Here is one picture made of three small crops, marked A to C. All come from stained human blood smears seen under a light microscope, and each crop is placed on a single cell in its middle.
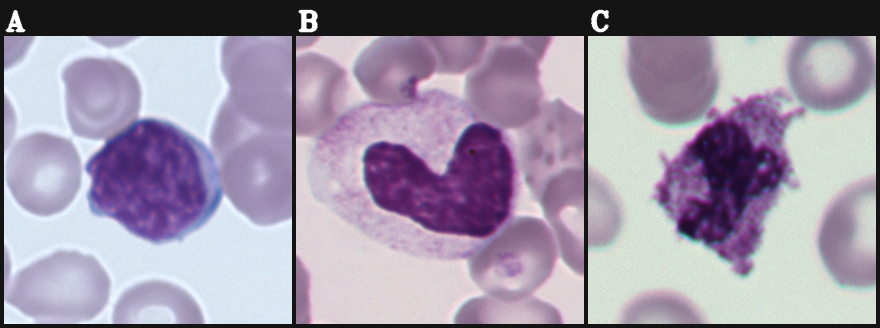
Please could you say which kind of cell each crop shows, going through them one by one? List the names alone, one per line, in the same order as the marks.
typical lymphocyte
band neutrophil
basophil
